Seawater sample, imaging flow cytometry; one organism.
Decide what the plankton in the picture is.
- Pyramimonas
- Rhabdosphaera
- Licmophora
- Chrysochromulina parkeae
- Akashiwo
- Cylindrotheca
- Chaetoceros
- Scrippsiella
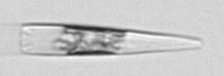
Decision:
Licmophora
